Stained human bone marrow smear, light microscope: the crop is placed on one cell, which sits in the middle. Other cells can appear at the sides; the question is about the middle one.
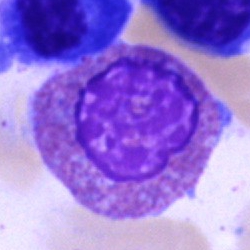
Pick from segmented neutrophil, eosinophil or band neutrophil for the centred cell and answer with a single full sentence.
The crop shows an eosinophil in its centre.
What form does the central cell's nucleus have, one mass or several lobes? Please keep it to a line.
Between us, the nucleus here is just one compact mass, round, oval or kidney-shaped.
